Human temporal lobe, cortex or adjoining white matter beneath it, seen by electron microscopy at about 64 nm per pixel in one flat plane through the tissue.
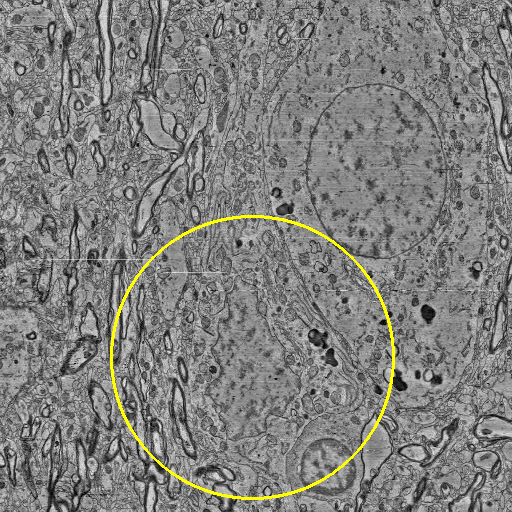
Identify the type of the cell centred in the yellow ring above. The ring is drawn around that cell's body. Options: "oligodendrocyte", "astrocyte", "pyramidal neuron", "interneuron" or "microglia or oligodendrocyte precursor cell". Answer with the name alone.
interneuron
